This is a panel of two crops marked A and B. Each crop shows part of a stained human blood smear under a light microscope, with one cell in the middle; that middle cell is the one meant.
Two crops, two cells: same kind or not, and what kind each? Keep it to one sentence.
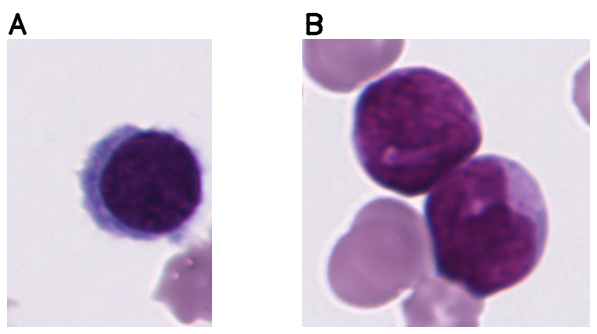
No, the cell of interest in crop A is a hairy cell, and in crop B it is a myeloblast.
